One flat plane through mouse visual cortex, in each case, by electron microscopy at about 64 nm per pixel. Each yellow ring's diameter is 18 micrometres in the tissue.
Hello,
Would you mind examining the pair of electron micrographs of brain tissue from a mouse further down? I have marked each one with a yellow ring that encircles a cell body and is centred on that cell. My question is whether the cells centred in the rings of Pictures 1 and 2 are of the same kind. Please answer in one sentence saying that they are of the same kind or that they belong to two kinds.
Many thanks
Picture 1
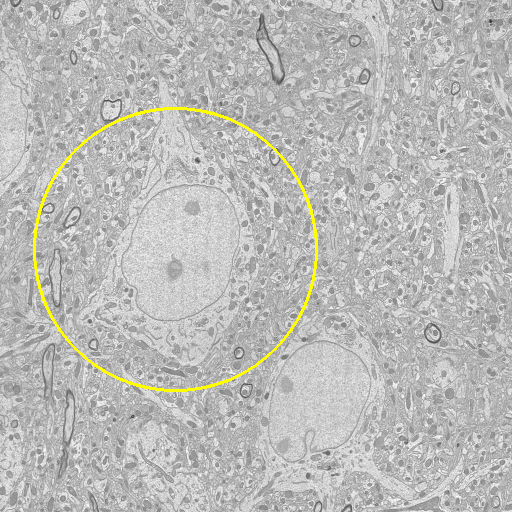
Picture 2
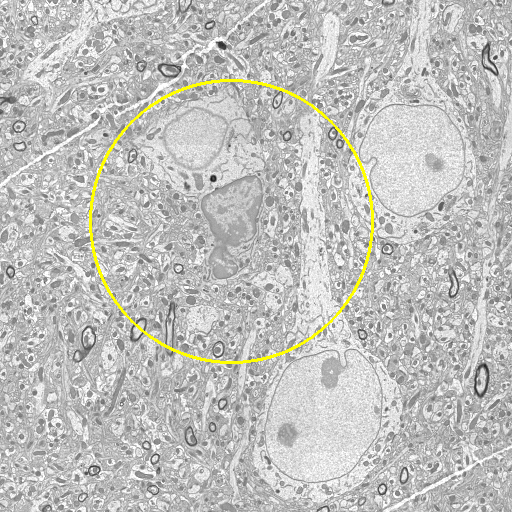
In Pictures 1 and 2, the cells at the heart of the rings belong to two kinds.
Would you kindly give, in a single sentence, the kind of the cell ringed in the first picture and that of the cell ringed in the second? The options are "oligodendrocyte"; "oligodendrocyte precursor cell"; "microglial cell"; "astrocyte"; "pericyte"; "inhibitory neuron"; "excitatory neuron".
The second cell is a microglial cell, and the first cell is an excitatory neuron.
